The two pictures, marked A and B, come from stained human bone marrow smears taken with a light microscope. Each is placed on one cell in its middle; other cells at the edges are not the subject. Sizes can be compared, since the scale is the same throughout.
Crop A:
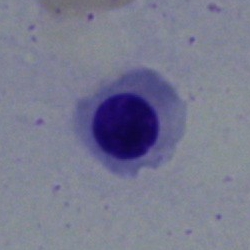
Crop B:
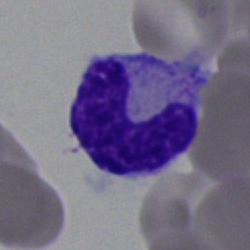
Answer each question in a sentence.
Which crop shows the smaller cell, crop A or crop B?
The cell in crop A is smaller; the one in crop B has about 1.5 times its area.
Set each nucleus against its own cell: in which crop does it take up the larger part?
The nucleus fills more of the cell in crop B than in crop A.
